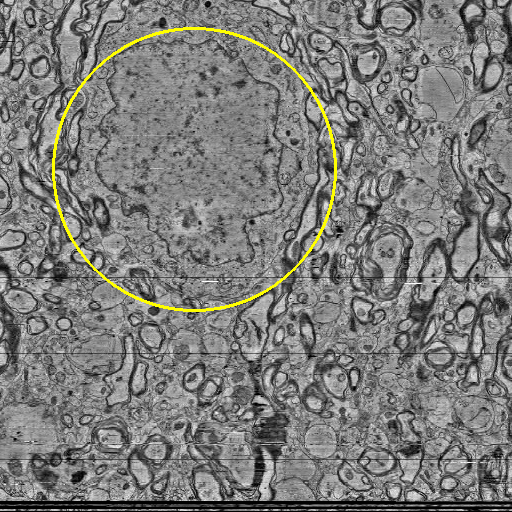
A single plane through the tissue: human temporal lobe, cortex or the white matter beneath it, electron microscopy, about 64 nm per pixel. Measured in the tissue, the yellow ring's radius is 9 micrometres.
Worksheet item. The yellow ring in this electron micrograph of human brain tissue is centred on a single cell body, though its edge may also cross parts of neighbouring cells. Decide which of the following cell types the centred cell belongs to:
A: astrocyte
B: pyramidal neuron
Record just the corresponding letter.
B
